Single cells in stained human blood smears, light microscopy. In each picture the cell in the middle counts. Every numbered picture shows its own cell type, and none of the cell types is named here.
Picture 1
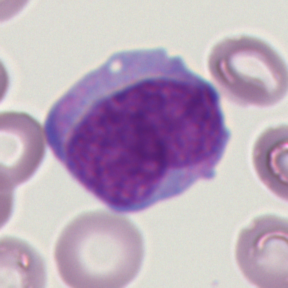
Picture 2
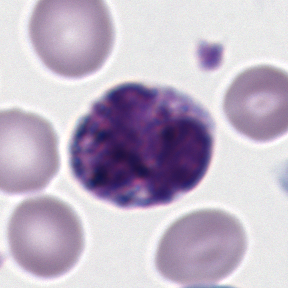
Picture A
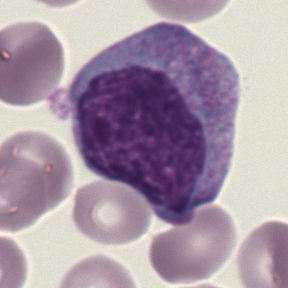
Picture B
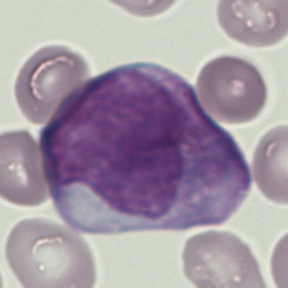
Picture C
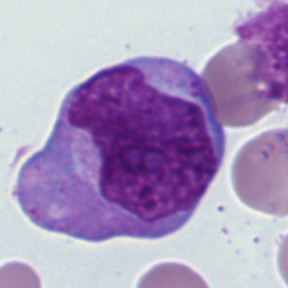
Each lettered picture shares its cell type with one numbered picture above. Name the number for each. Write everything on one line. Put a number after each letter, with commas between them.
A 1, B 1, C 1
